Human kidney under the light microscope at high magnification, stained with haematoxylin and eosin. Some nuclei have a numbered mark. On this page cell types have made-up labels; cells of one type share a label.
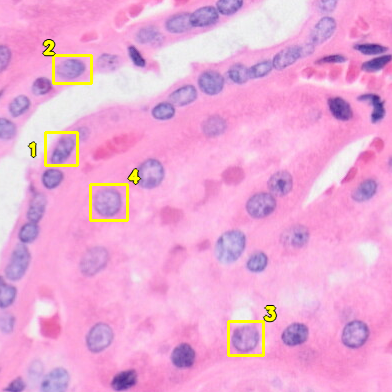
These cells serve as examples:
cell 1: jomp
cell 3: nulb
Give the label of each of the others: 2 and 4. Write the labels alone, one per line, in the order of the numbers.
jomp
nulb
